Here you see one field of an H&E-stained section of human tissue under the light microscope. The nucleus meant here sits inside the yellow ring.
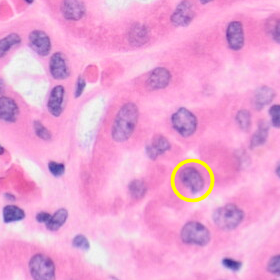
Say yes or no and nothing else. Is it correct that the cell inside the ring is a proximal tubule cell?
yes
